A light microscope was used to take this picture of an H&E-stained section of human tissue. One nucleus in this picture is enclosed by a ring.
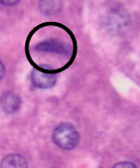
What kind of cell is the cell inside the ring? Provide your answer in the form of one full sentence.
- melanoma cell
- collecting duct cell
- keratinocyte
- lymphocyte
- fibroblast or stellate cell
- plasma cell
It is a fibroblast or stellate cell that the cell inside the ring represents.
